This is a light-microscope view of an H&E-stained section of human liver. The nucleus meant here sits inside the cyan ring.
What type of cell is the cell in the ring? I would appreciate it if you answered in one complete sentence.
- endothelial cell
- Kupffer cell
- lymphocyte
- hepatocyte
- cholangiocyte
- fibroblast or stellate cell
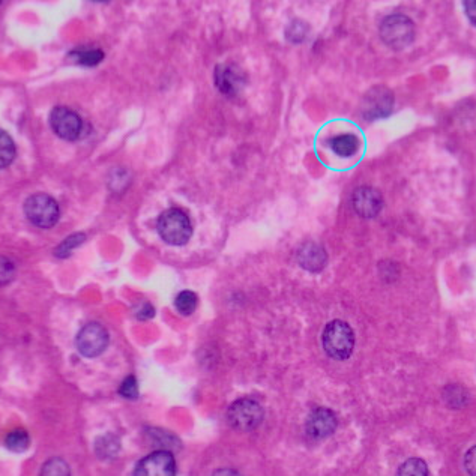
The classification of the cell in the ring is as a lymphocyte.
